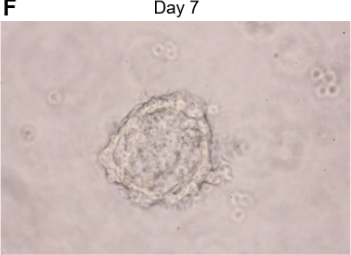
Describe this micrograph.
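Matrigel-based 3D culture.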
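A compact, rounded organoid made of many tightly packed cells sits in the middle of a clear gel. Its outer edge is irregular and knobbly, and its interior looks granular without an obvious clear space. Small isolated round cells lie scattered around it.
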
